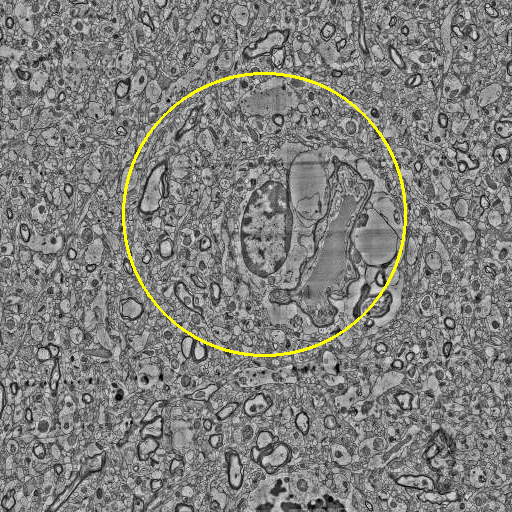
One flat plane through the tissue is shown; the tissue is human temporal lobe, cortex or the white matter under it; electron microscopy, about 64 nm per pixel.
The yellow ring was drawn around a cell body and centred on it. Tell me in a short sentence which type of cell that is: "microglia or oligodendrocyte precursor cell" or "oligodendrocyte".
The cell at the ring's centre is a microglial cell or oligodendrocyte precursor cell.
